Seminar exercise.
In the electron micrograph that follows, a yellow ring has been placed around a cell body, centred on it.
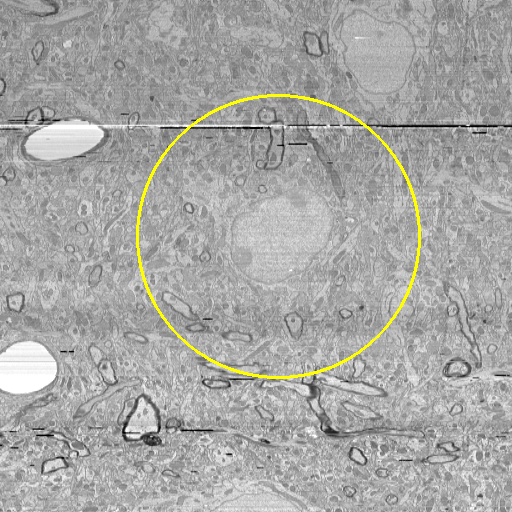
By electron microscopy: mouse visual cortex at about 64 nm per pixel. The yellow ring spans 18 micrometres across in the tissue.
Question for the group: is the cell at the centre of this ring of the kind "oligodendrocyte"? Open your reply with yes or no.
No, the cell in the ring's centre is of another kind.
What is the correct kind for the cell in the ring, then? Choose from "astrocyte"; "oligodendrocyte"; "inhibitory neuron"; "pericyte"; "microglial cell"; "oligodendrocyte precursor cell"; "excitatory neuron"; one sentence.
The cell shown in the ring is an astrocyte.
